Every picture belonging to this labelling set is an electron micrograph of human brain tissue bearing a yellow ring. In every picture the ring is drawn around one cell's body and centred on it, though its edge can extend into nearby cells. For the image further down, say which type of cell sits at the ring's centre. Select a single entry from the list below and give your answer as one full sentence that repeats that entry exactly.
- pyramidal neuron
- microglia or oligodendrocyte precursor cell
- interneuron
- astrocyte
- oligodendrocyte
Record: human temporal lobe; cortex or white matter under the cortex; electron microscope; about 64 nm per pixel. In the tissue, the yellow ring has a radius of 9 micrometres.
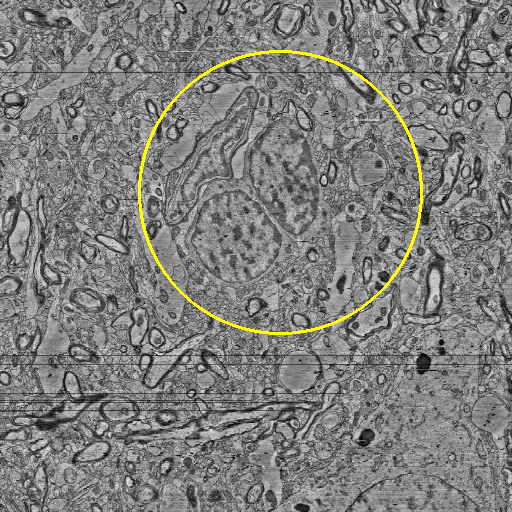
In the picture, an oligodendrocyte is the cell at the centre of the yellow ring.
